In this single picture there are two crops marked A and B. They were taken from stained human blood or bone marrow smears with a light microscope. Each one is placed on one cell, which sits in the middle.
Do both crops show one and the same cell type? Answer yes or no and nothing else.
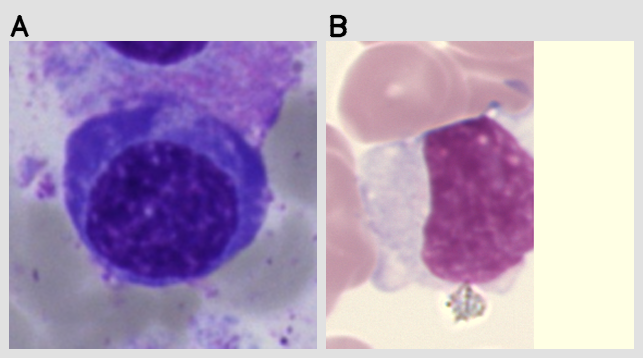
no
